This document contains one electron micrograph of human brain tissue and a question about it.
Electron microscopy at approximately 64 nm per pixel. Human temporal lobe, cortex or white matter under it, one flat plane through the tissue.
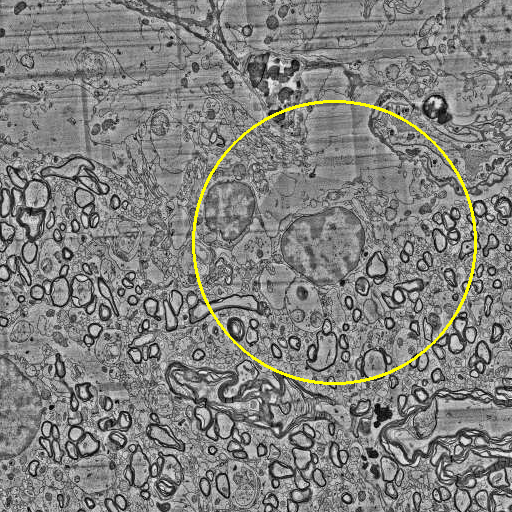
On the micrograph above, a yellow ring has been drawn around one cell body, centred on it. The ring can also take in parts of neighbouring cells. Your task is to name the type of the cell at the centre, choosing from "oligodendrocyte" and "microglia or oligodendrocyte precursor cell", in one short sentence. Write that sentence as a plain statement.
Here the ring is centred on a microglial cell or oligodendrocyte precursor cell.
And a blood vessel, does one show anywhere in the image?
Yes, there is a blood vessel in the image.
